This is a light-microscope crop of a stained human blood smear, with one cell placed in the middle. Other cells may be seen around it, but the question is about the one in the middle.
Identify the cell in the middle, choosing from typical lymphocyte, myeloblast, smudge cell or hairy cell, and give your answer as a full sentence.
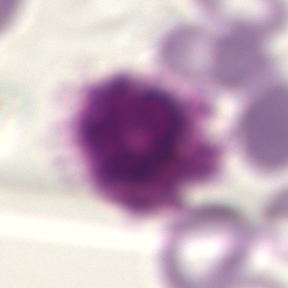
Of the cells in this crop, the central one is a smudge cell.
